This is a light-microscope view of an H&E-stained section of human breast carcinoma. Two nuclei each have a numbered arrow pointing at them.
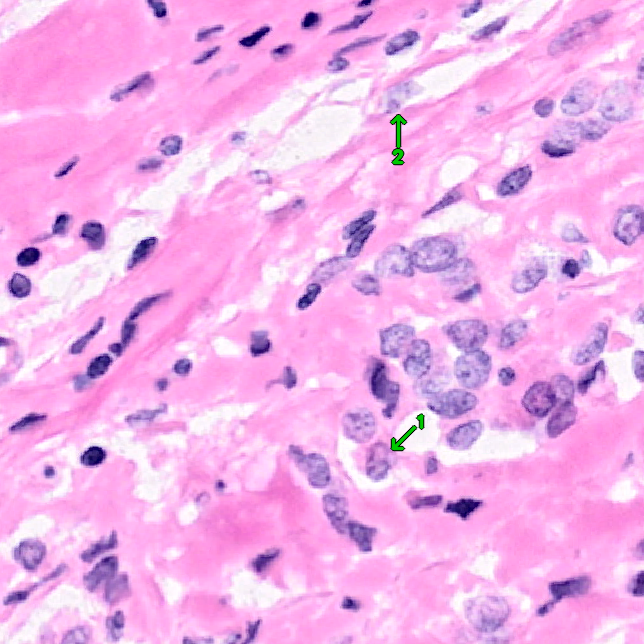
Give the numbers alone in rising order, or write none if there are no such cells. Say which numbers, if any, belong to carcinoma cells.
1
